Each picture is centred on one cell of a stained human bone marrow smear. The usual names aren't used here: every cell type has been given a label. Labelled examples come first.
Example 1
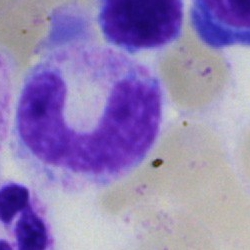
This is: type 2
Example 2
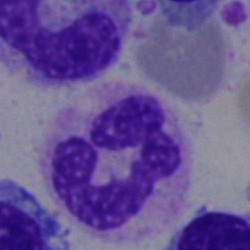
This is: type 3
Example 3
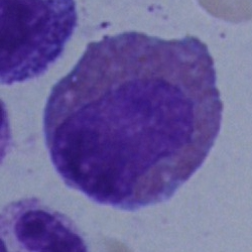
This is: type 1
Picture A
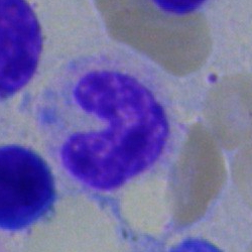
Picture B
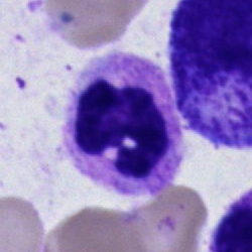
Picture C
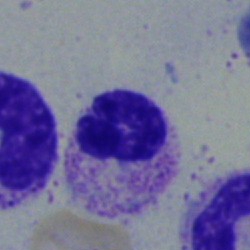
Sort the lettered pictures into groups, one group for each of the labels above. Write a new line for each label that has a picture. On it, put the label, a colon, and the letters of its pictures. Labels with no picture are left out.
type 2: A, C
type 3: B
